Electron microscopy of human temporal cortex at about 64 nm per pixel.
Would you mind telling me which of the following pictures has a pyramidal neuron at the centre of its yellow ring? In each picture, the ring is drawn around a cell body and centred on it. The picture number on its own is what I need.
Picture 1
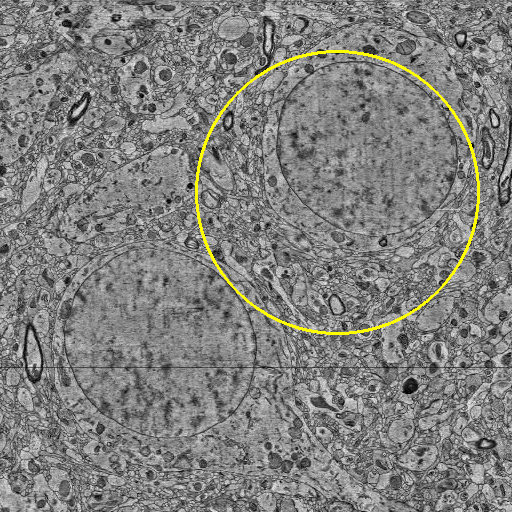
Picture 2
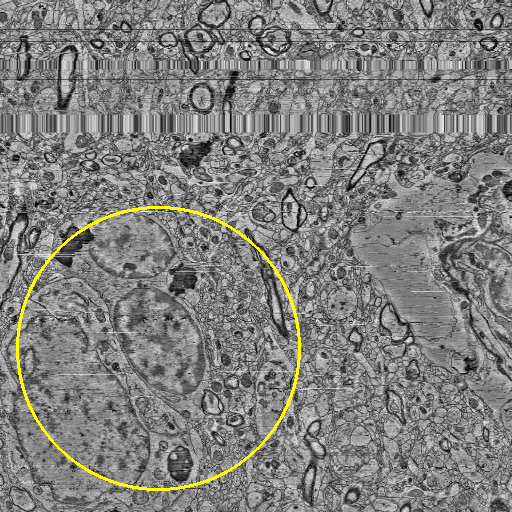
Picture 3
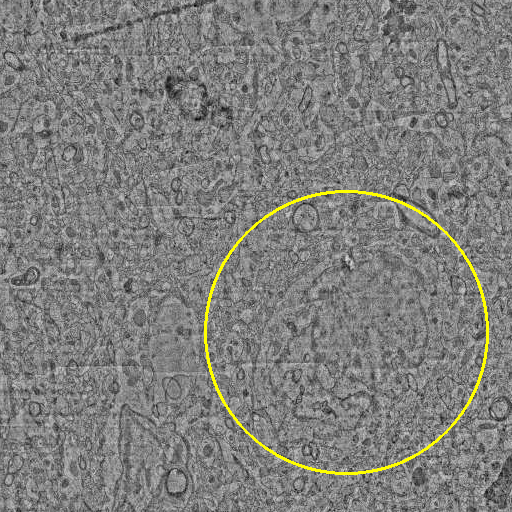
1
